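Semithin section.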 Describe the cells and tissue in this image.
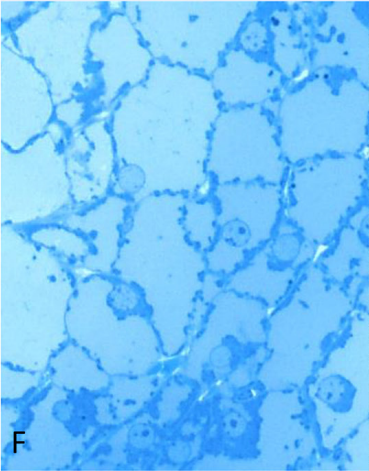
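This is liver, and the cells filling the field are hepatocytes that have become very large. Round nuclei, several with a distinct nucleolus, sit within the cells, and the little stained cytoplasm that remains clings to the cell borders. Between the cells run narrow clefts of sinusoids. The whole field looks like a honeycomb of swollen, pale cells rather than the compact, evenly stained cords of normal liver, and no round empty fat vacuoles are seen.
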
